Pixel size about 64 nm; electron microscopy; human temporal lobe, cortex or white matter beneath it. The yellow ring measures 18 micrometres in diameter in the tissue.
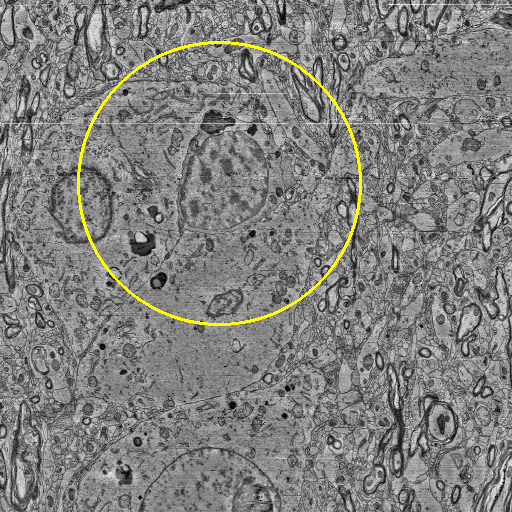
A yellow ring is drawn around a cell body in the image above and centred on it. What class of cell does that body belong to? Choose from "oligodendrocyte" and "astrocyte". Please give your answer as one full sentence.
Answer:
The yellow ring above is centred on the cell body of an oligodendrocyte.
